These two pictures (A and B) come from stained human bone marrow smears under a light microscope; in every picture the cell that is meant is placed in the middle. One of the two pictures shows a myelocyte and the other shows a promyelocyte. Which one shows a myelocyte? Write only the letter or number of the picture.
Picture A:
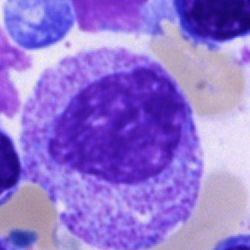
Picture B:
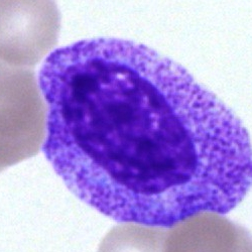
B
